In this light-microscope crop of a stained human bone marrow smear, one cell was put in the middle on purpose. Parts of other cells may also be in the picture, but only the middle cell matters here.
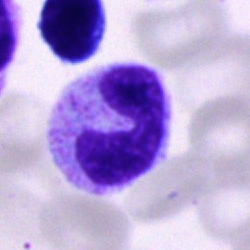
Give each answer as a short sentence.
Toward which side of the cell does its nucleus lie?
The nucleus sits off-centre, toward the right.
